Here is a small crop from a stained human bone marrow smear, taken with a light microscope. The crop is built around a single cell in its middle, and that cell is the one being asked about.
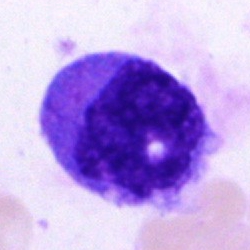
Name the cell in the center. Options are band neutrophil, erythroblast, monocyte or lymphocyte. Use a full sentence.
Seen at the centre of the crop is a monocyte.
